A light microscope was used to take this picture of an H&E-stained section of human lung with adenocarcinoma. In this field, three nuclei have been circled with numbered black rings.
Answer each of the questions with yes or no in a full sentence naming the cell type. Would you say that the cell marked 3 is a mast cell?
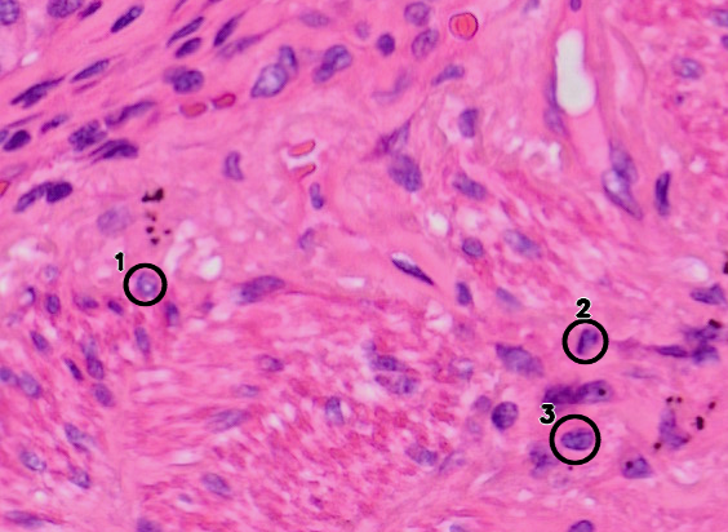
Yes, the cell that is numbered 3 is a mast cell.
